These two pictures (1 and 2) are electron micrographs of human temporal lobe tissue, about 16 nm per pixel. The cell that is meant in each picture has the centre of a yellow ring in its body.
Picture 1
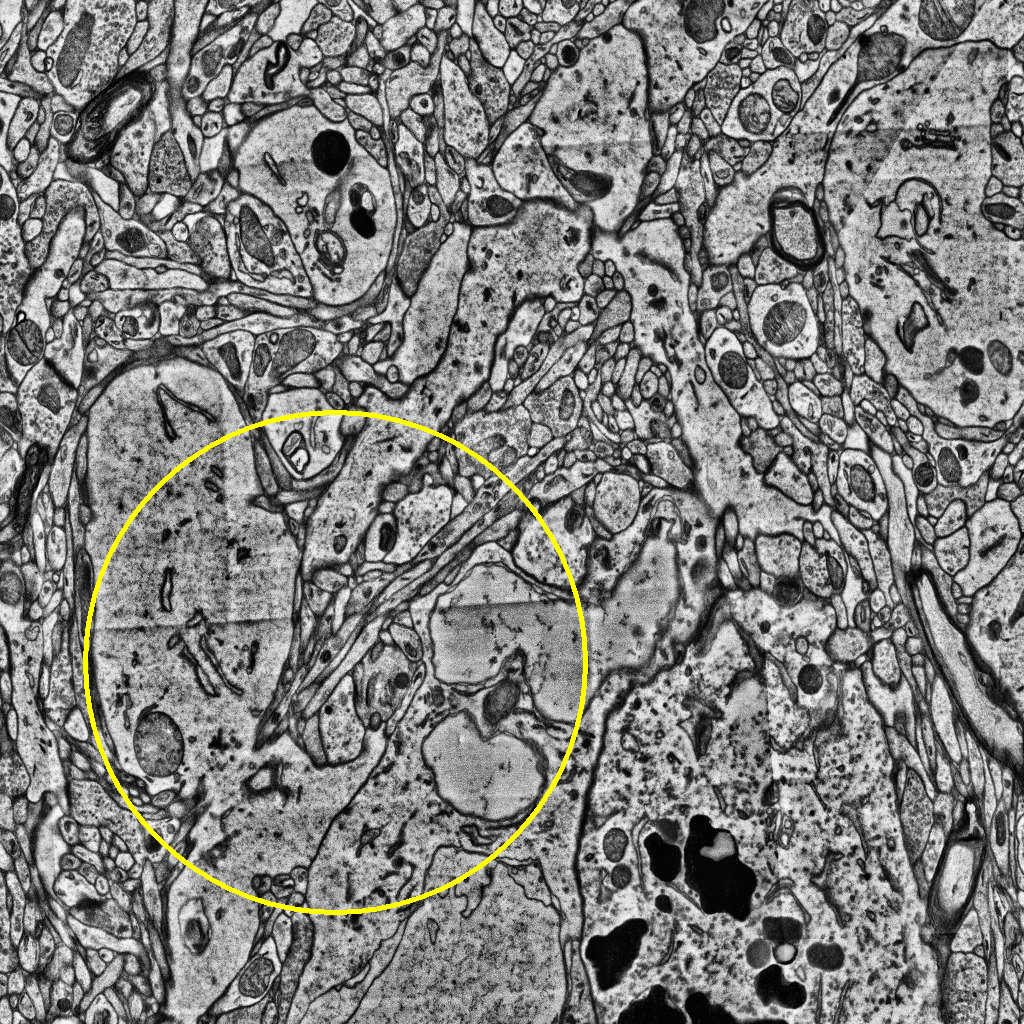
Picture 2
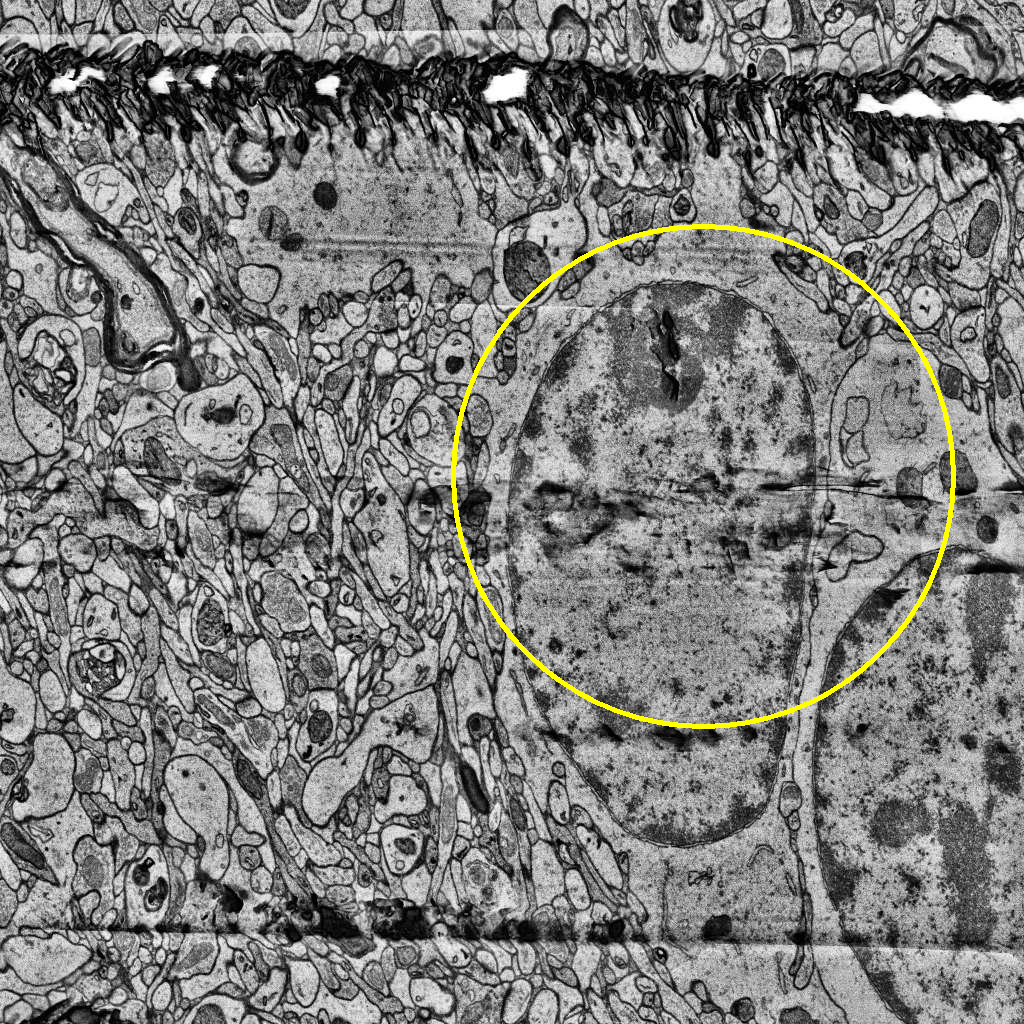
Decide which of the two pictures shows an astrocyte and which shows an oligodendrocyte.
Picture 1 is of an oligodendrocyte, and picture 2 is of an astrocyte.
